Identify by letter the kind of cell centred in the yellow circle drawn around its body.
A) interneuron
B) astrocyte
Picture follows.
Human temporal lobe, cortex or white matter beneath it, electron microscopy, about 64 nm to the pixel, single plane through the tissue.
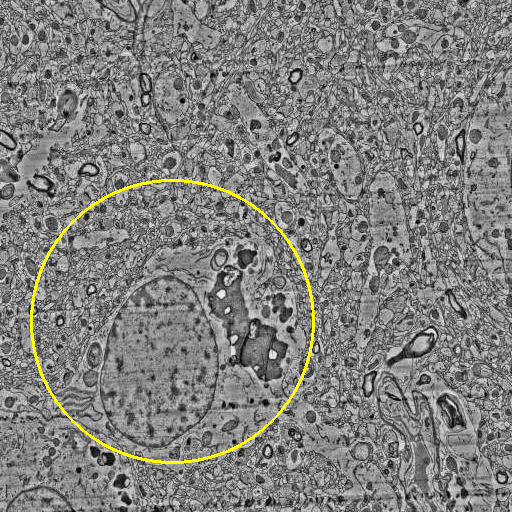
B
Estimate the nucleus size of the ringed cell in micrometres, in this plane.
Roughly 11 micrometres by 7 micrometres, in this plane.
